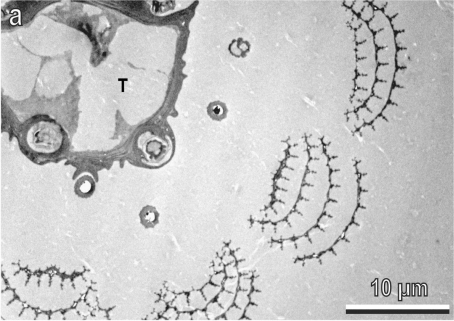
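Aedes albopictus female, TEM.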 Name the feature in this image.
Overlapping four to five convex scales.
